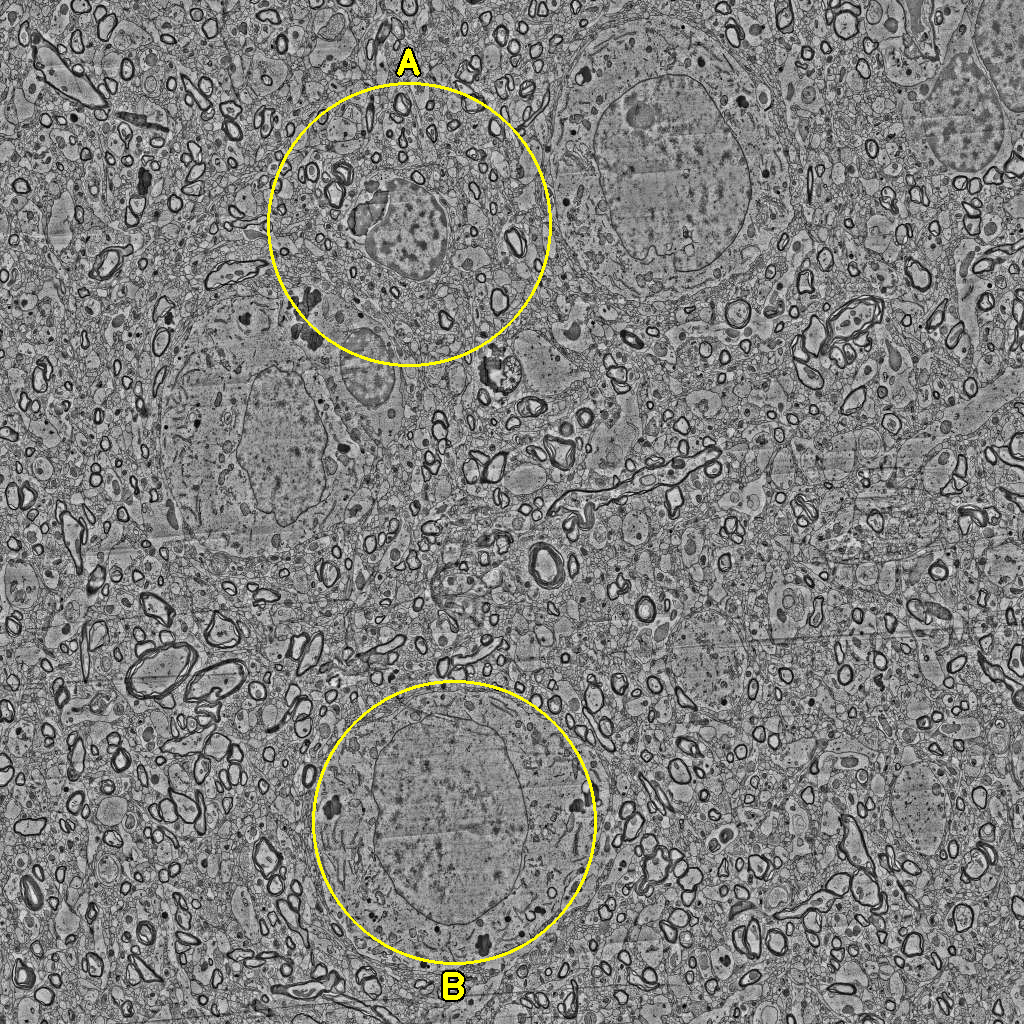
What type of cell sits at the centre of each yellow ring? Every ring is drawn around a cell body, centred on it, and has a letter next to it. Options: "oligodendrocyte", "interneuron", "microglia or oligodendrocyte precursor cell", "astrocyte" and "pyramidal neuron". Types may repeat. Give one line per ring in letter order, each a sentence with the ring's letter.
Ring A has a microglial cell or oligodendrocyte precursor cell at its centre.
Ring B has a pyramidal neuron at its centre.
